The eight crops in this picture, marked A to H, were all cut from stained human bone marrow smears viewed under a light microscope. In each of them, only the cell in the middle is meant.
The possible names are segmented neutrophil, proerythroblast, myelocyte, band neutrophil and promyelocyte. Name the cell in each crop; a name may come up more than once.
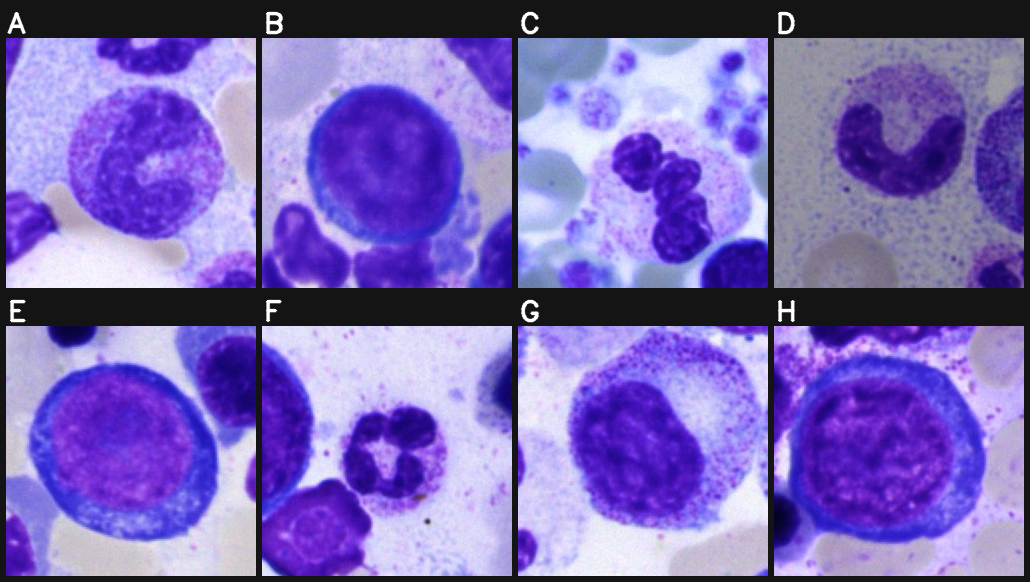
A: band neutrophil
B: proerythroblast
C: segmented neutrophil
D: band neutrophil
E: proerythroblast
F: segmented neutrophil
G: promyelocyte
H: proerythroblast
